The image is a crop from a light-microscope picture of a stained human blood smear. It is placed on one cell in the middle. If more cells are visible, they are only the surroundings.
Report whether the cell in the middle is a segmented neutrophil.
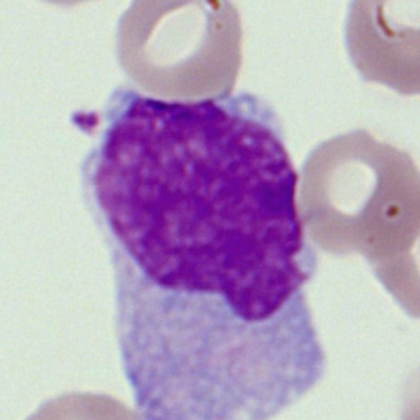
no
